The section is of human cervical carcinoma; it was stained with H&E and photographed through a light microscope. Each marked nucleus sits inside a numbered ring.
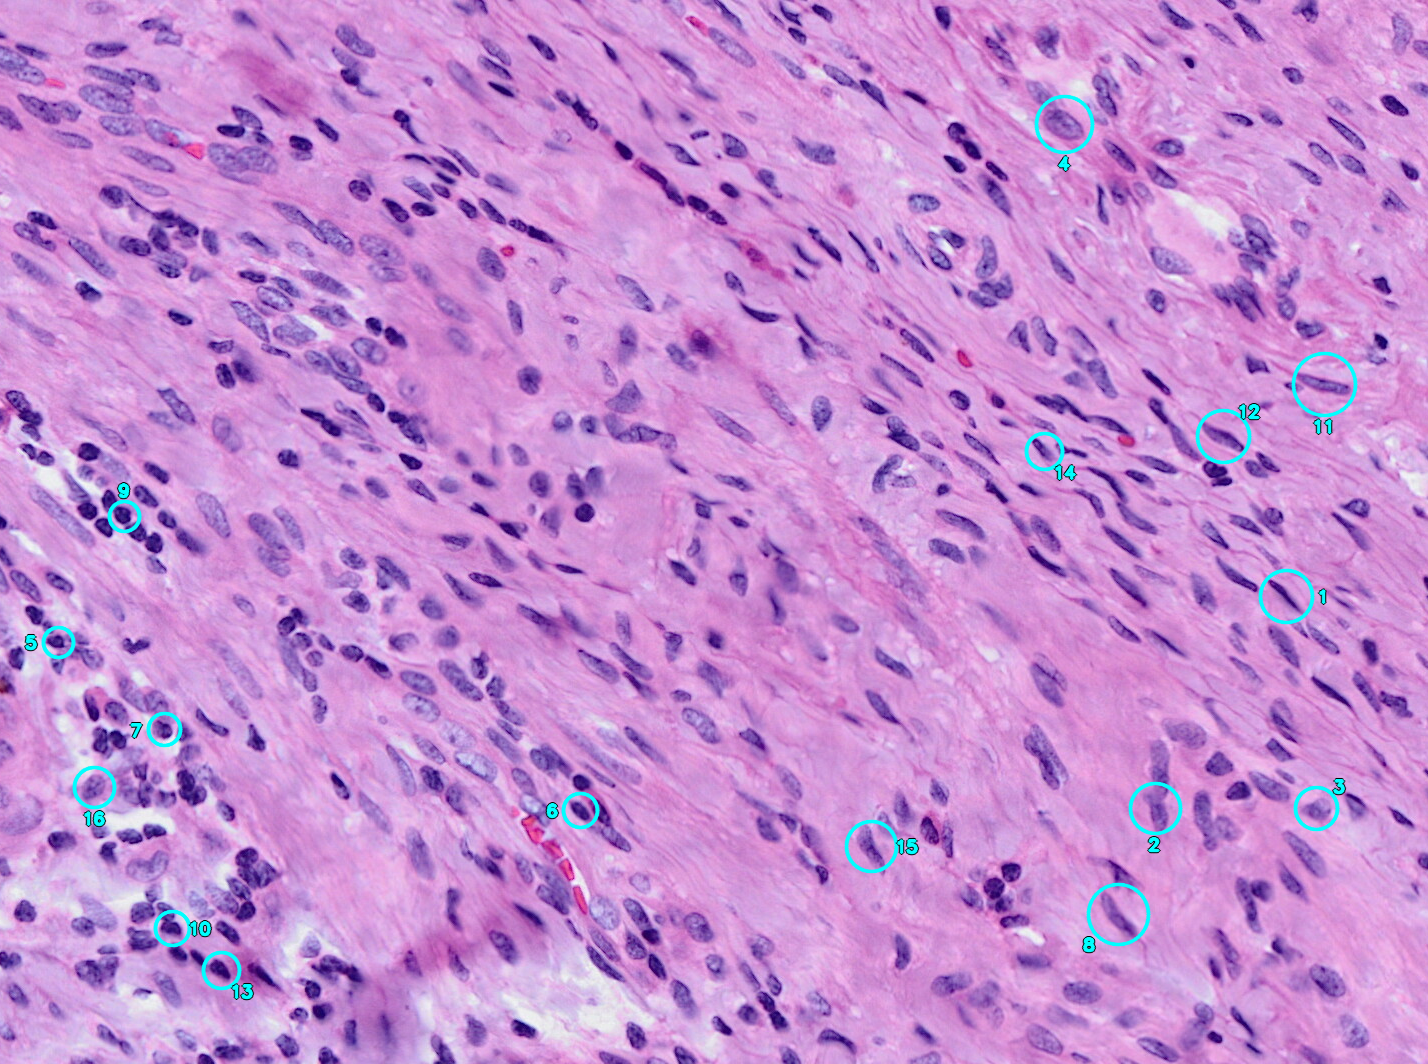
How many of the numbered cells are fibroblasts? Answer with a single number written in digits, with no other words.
7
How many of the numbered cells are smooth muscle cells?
1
